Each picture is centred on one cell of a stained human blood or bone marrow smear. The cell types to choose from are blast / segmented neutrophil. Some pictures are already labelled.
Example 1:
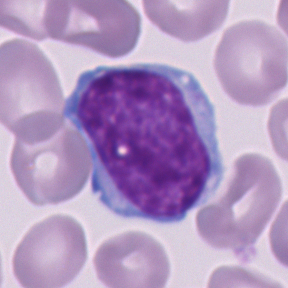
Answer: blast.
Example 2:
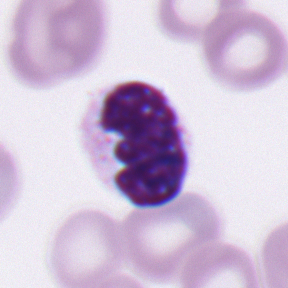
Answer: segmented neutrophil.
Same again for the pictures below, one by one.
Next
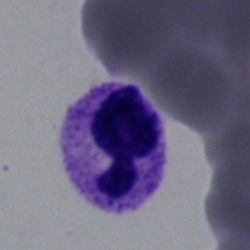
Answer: segmented neutrophil.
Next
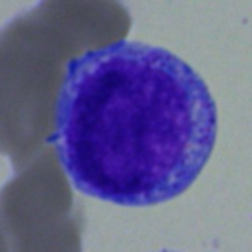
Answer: blast.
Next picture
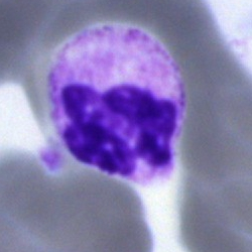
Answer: segmented neutrophil.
